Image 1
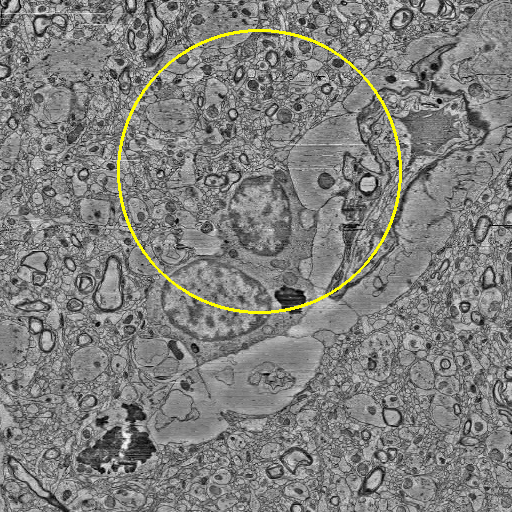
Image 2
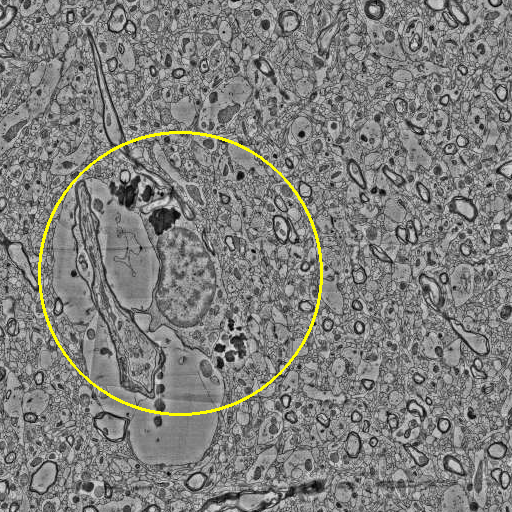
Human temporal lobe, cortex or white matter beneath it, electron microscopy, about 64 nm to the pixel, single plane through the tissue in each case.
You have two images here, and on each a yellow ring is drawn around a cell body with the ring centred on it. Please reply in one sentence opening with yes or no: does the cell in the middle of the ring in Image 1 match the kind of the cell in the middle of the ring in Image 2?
Yes, the two images show cells of one kind at the centres of their rings.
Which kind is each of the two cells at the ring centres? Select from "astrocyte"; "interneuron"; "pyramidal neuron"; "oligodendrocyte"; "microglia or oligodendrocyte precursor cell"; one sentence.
Both pictures show an oligodendrocyte at the centre of the ring.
